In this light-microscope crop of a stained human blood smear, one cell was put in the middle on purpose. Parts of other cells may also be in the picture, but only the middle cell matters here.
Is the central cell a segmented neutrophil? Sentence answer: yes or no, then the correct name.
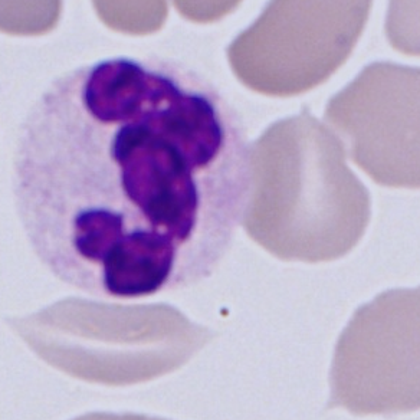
Yes, the middle cell is classified as a segmented neutrophil.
